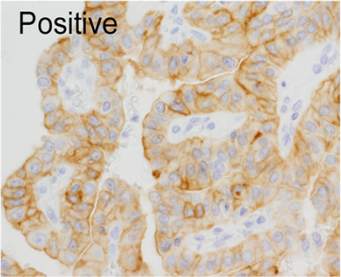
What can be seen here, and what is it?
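Cancer cells lining papillary fronds with thin cores show strong brown staining outlining their cell borders. The cells are cuboidal to columnar with pale cytoplasm and oval blue nuclei, arranged in one or a few layers around the cores.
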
